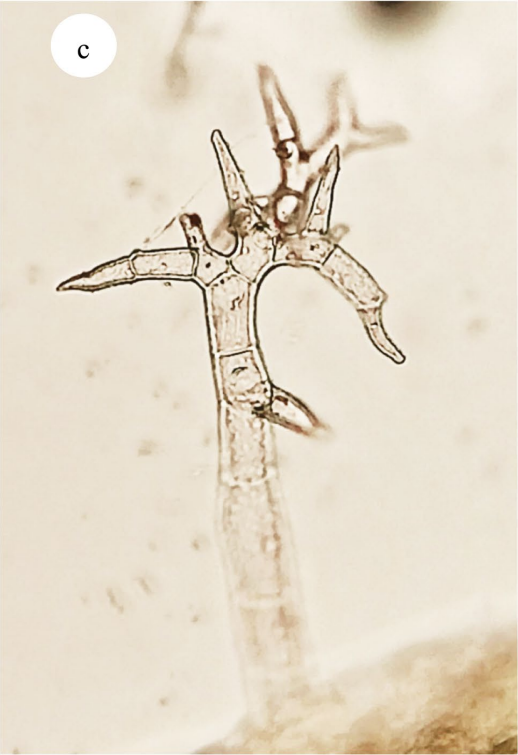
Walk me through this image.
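This is a single branched, non glandular plant hair, a dendritic trichome, seen against a clear background. Its long stalk is built of several cells set end to end in one row, with thin cross walls between them. At the top the stalk divides into several arms that spread outward like the branches of a small tree. Each arm is made of one or a few cells and tapers to a sharp point. The cell walls are thin and the cells look clear, with little visible content.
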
